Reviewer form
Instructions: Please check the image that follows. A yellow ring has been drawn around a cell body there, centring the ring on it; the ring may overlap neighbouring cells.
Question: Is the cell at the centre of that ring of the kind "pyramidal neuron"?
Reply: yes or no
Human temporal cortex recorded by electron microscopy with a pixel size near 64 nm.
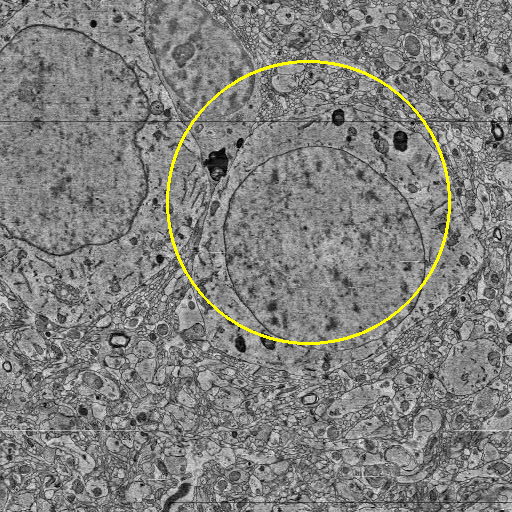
yes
